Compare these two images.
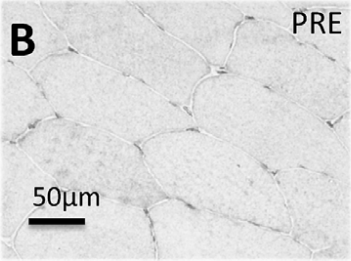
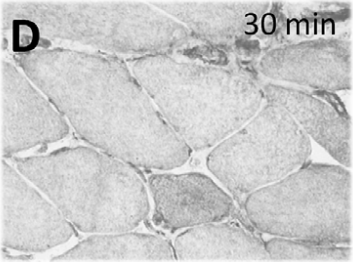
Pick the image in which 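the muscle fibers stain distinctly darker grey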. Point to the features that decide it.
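The second image. Second image: fiber interiors are mid to dark grey, some fibers markedly darker. First image: fiber interiors are pale grey, close to the background.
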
